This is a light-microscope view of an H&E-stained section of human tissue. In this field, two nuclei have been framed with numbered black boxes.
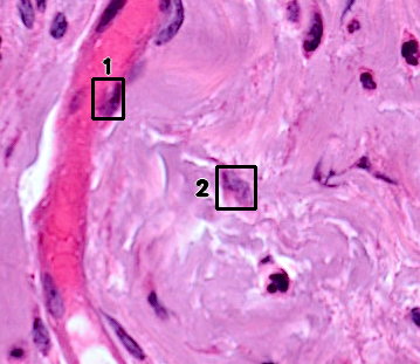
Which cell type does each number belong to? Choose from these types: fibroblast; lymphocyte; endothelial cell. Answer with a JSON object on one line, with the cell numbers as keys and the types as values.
{"1": "endothelial cell", "2": "fibroblast"}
